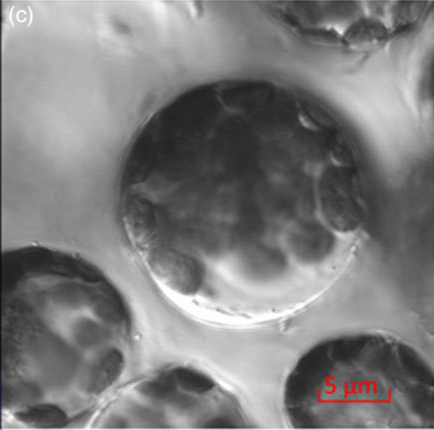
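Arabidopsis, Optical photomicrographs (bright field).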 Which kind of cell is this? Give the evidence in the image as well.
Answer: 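Mesophyll protoplast. Cells are perfectly round, without angular walls. Cells lie free, separated by background medium.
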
